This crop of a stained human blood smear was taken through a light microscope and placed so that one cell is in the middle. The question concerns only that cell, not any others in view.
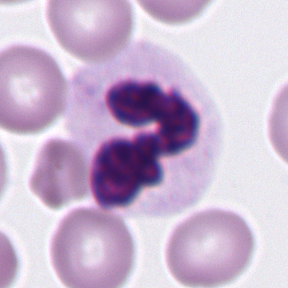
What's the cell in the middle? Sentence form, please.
The centrally located cell in the crop is a neutrophil.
